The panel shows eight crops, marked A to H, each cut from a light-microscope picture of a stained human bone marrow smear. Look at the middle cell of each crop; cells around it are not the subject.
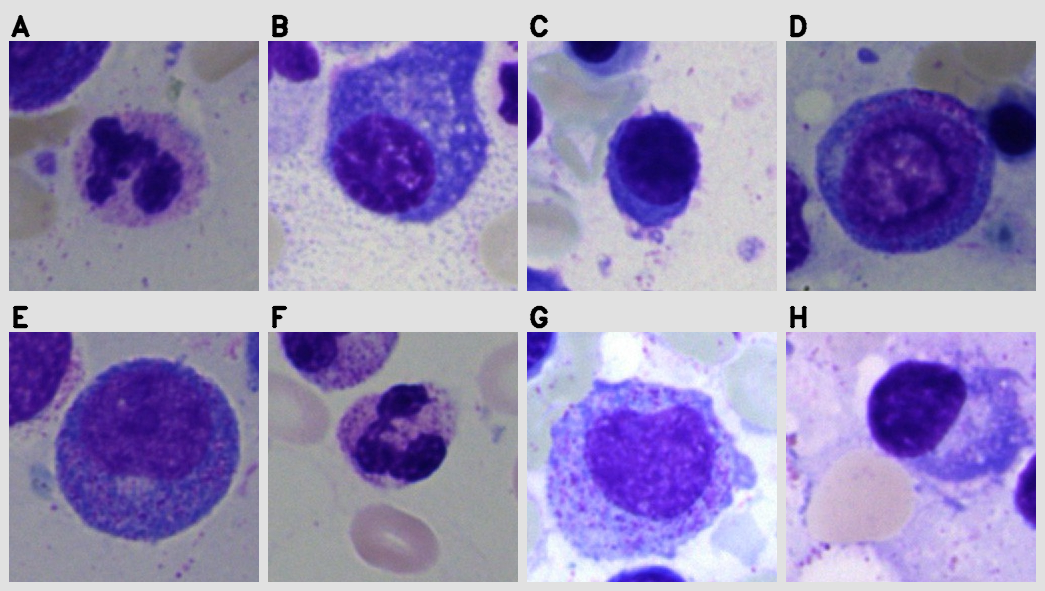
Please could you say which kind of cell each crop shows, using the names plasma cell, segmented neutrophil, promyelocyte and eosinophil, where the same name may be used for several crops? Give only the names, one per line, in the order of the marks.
segmented neutrophil
plasma cell
plasma cell
promyelocyte
promyelocyte
segmented neutrophil
promyelocyte
plasma cell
